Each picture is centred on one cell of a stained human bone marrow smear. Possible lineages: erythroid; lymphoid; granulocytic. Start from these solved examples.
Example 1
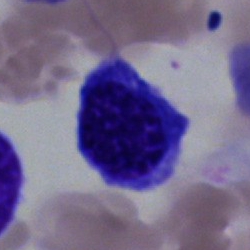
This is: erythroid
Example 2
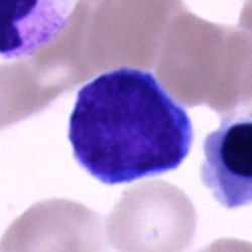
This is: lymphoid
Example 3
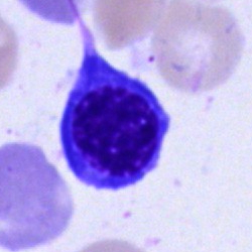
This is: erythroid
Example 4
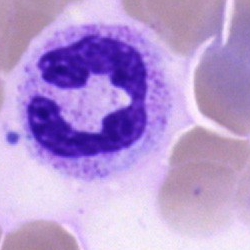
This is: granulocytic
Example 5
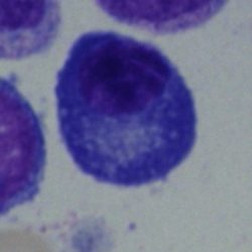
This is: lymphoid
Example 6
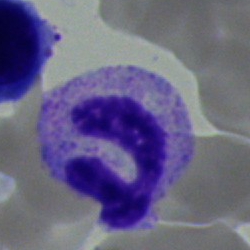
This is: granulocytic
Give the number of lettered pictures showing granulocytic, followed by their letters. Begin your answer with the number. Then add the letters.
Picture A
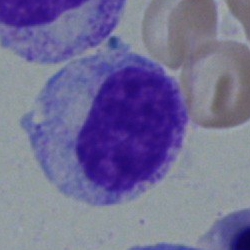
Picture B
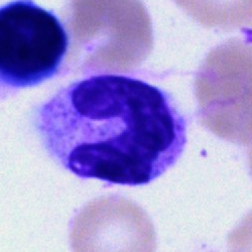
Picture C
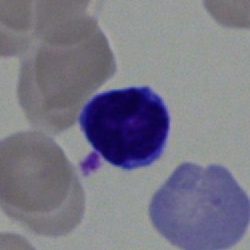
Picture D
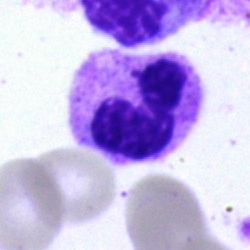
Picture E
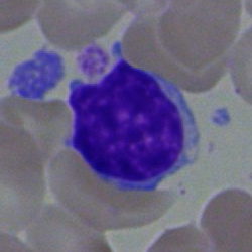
3: A, B, D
